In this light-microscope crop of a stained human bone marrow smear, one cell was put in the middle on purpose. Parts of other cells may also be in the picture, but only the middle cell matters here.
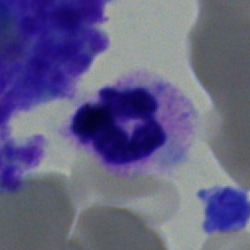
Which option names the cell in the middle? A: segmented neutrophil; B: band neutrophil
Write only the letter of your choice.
A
